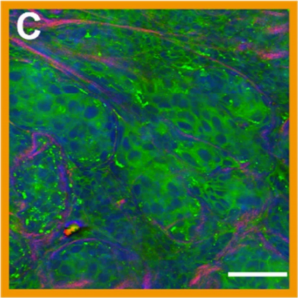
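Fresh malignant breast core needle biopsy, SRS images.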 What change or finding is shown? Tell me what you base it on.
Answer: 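Dark nuclei vary clearly in size and shape across the field. Cells are crowded and irregularly arranged. On this evidence: Cellular atypia with diverse nucleus sizes.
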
